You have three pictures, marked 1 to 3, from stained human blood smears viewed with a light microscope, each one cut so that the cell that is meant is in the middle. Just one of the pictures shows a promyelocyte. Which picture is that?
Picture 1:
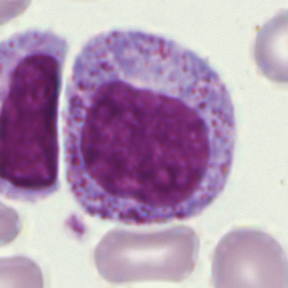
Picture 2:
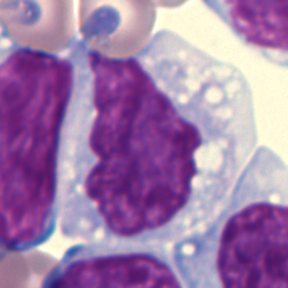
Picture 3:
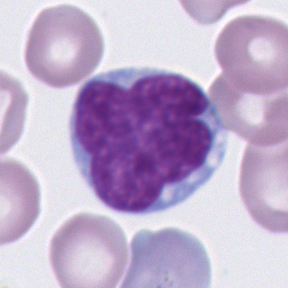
1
